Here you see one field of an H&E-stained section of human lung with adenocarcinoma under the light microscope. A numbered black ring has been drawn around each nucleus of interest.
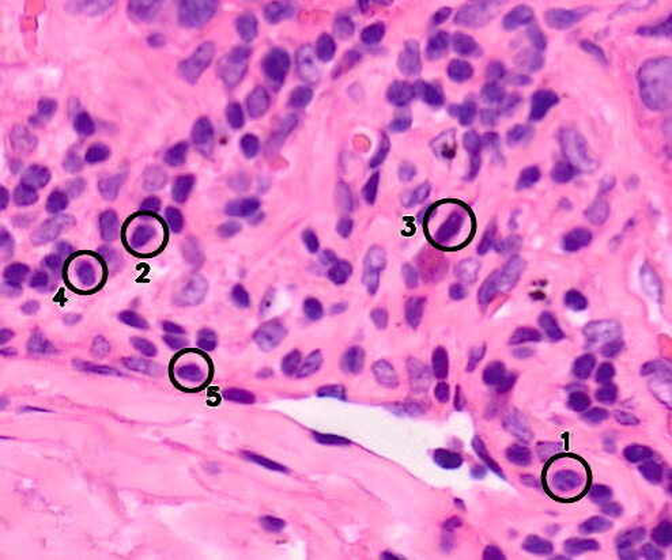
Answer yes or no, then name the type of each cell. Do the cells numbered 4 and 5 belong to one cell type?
Yes, both are lymphocytes.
